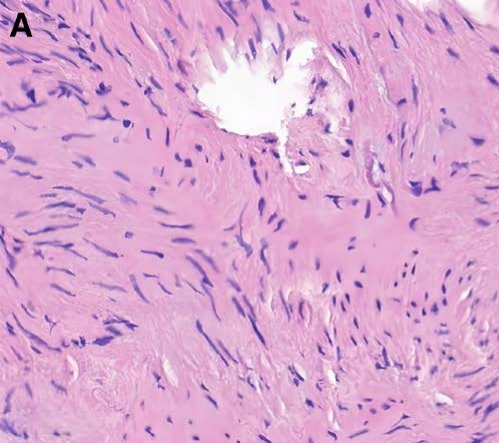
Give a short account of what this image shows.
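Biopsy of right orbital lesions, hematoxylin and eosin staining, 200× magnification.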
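Dense fibrous tissue with hyaline change. The field is filled by abundant, eosinophilic pink collagen, partly glassy and homogeneous. Scattered through it are elongated, slender, spindle-shaped dark nuclei that run in wavy, roughly parallel streams. Cellularity is low, and few inflammatory cells are seen. Near the top an irregular empty space, likely a vessel lumen, is surrounded by the fibrous tissue.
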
